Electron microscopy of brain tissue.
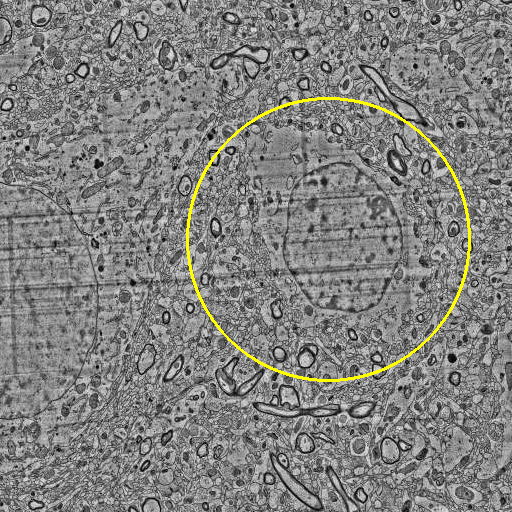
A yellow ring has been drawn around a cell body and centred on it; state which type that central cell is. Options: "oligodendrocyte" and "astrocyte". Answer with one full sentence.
The cell at the middle of the yellow ring is an astrocyte in this picture.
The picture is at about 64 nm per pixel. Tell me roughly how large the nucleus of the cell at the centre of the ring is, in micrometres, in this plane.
The nucleus of the ringed cell is approximately 10 by 8 micrometres in this plane.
